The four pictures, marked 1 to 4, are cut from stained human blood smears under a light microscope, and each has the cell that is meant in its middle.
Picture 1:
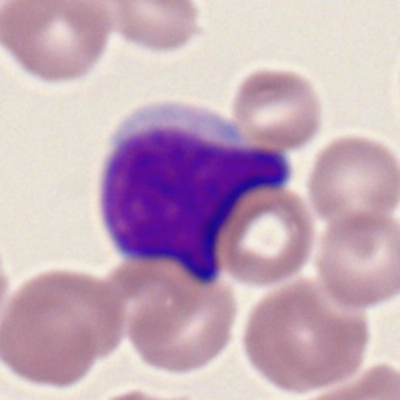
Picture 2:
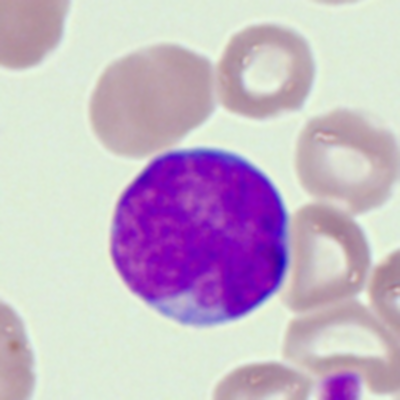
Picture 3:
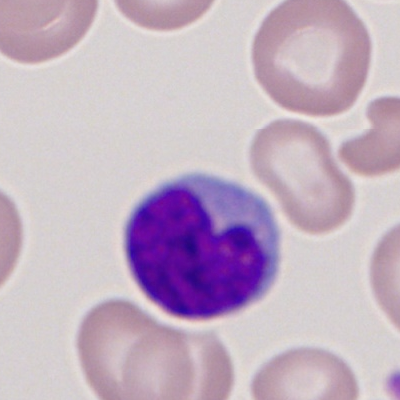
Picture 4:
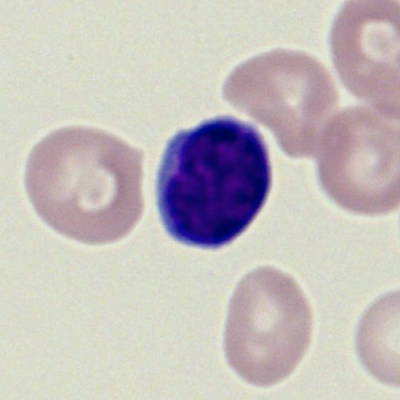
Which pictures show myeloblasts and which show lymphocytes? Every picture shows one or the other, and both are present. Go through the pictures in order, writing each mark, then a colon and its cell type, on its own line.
1: myeloblast
2: myeloblast
3: lymphocyte
4: lymphocyte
